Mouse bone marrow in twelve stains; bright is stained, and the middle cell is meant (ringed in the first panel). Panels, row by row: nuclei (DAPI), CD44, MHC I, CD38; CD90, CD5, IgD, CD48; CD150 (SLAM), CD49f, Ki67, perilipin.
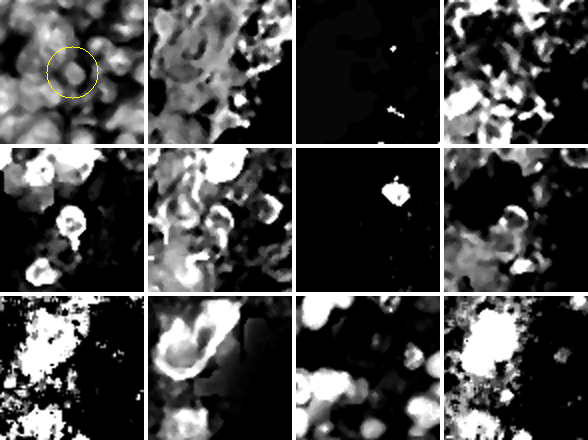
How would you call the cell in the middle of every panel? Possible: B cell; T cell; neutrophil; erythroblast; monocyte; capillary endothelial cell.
I would call it a T cell.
